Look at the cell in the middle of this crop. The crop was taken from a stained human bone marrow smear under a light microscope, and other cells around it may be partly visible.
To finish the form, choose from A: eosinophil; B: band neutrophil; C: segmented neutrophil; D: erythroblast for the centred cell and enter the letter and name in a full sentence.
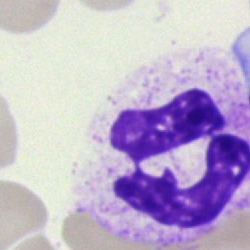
Option C is the correct selection, for the cell at the centre is a segmented neutrophil.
